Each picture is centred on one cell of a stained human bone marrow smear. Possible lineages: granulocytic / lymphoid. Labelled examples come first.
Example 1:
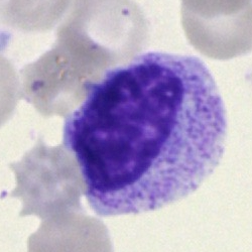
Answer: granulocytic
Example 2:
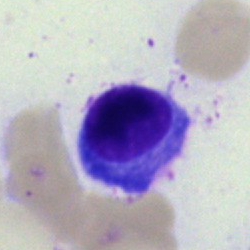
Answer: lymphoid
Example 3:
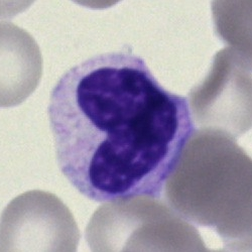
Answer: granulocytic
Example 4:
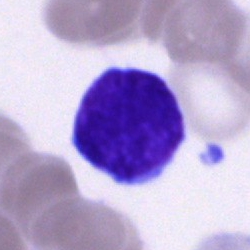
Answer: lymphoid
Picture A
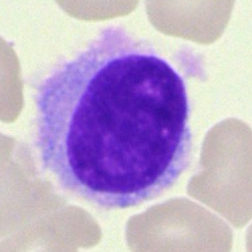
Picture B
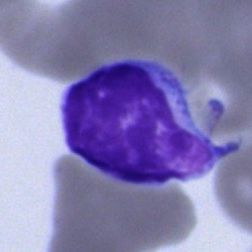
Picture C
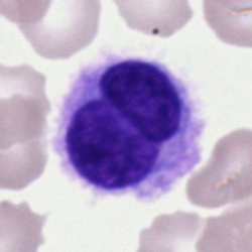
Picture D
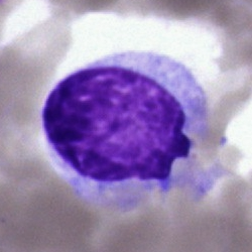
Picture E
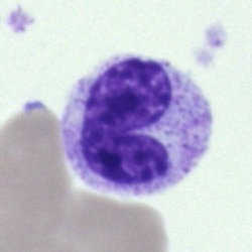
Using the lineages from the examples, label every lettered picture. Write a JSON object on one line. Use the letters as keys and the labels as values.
{"A": "lymphoid", "B": "lymphoid", "C": "lymphoid", "D": "lymphoid", "E": "granulocytic"}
